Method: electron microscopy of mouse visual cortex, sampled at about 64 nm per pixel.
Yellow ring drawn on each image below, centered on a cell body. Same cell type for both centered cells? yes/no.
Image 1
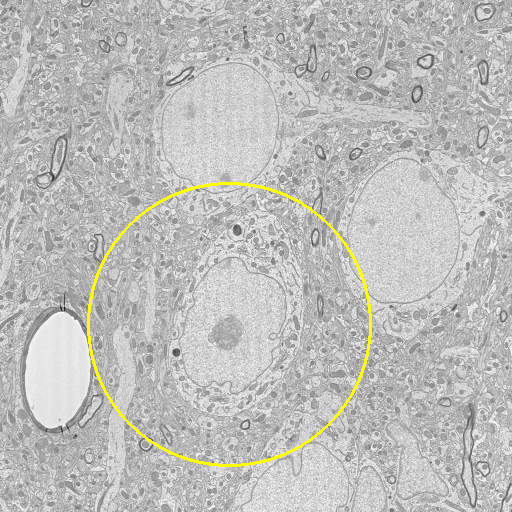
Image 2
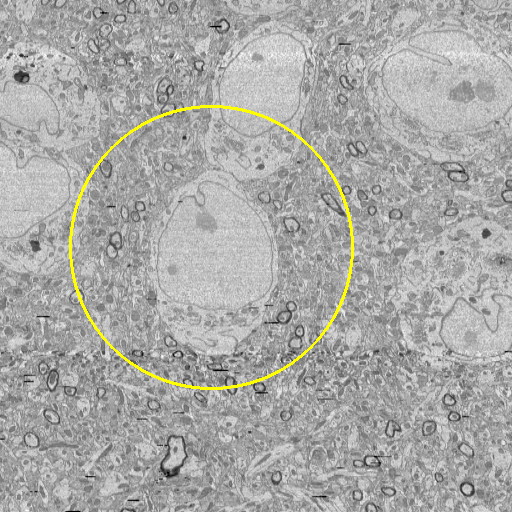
no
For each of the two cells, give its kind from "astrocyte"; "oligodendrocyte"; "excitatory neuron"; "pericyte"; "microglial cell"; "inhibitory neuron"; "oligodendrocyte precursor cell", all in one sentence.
The first picture has an inhibitory neuron in its ring, the second has an excitatory neuron.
